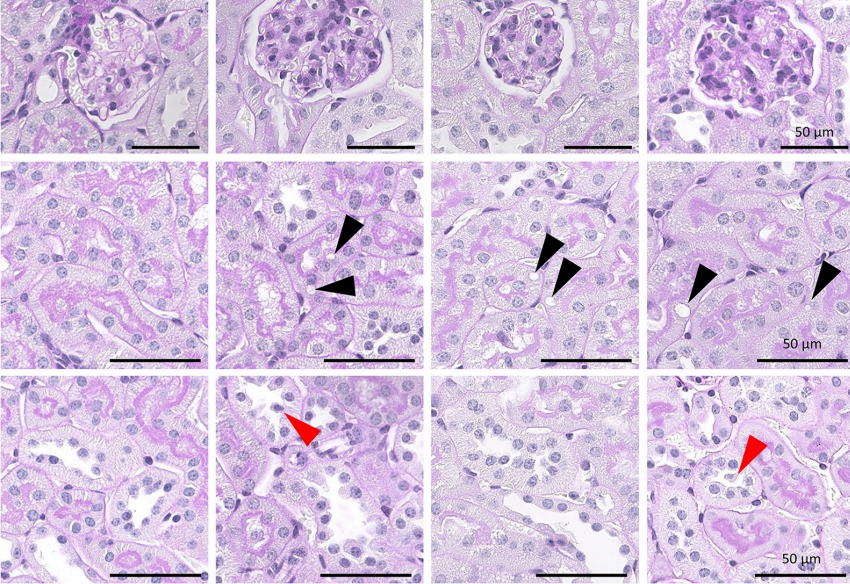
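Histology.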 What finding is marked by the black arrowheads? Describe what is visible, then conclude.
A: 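The black arrowheads point to small round clear spaces inside the tubular lining cells. The clear spaces are surrounded by pink-stained cytoplasm. That points to this answer: vacuolar structure in epithelial cells.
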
